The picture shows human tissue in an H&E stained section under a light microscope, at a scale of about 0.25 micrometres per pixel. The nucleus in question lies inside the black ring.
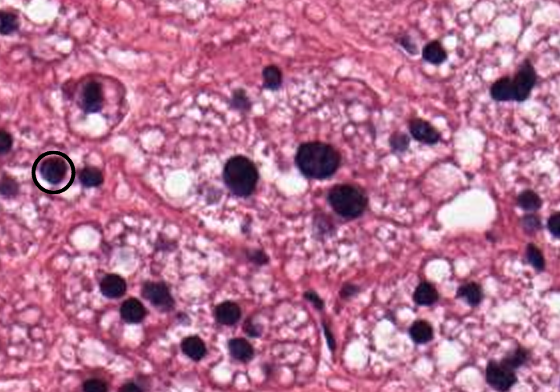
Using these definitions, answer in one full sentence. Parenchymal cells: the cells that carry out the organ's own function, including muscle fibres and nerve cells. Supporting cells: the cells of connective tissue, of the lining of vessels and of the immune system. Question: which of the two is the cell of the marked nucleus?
It is the nucleus of an adrenal cortical cell, a parenchymal cell, that is marked.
